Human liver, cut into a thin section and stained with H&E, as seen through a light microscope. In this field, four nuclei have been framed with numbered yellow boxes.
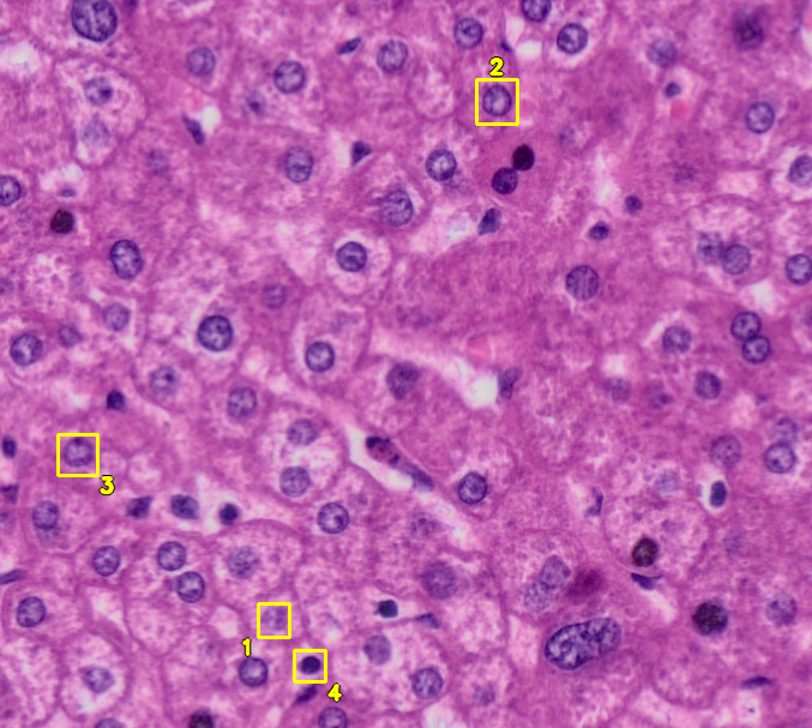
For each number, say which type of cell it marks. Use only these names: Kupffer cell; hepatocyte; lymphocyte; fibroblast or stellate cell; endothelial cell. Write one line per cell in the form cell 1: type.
cell 1: hepatocyte
cell 2: hepatocyte
cell 3: hepatocyte
cell 4: lymphocyte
